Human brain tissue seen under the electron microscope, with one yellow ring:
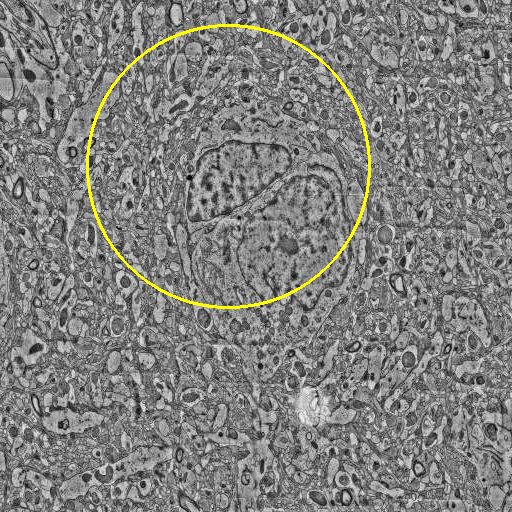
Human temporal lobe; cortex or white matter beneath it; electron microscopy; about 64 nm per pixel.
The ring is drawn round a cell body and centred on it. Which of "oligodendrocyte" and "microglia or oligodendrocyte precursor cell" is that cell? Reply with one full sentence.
The picture shows a microglial cell or oligodendrocyte precursor cell at the very centre of the yellow ring.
